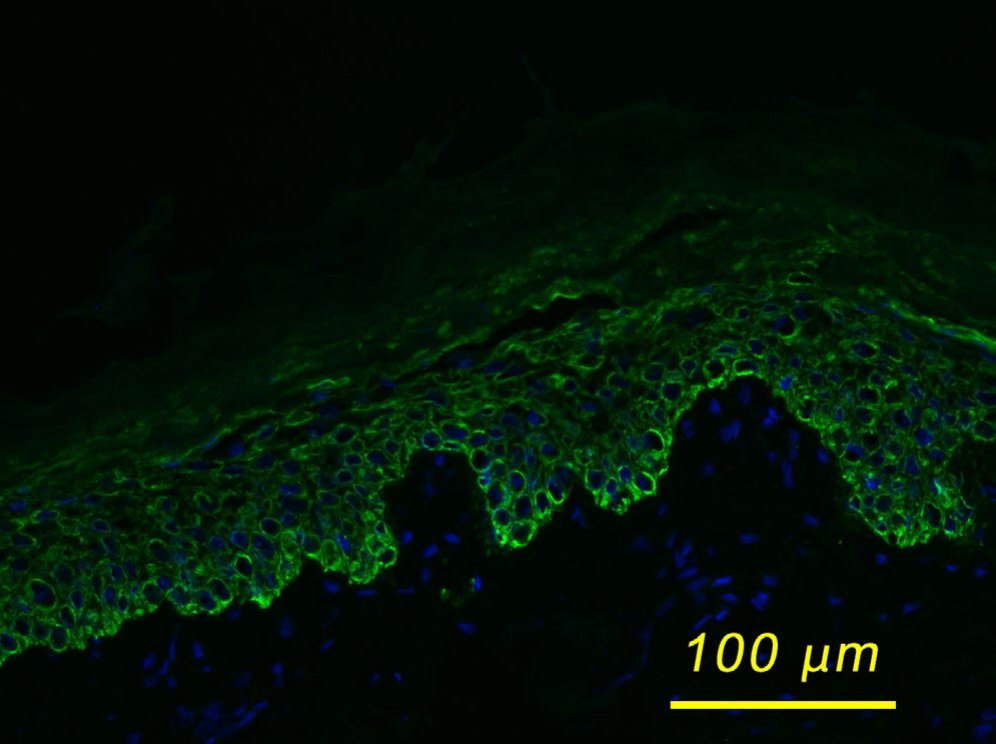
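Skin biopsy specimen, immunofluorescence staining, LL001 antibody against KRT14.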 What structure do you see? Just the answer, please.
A: subcorneal cleft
